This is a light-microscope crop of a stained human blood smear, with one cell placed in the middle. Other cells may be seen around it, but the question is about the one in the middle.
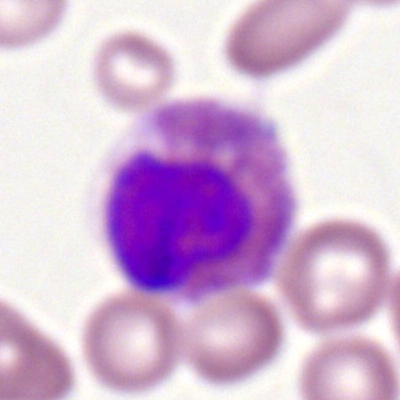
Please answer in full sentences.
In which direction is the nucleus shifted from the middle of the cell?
The nucleus is pushed toward the lower left of the cell.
